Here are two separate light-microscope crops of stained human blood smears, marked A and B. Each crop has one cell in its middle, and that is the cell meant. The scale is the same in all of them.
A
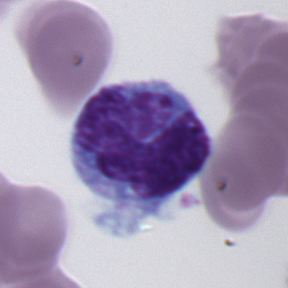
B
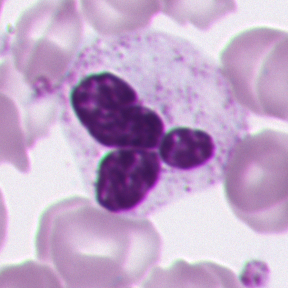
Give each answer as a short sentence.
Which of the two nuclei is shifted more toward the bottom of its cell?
Seen within its cell, the nucleus in crop B lies further toward the bottom.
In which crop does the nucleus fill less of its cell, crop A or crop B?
In crop B the nucleus takes up the smaller part of its cell.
